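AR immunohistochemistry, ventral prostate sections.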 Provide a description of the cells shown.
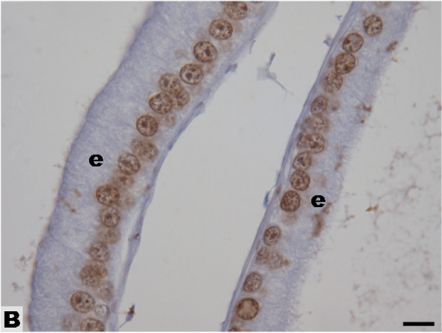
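Two strips of glandular epithelium run side by side, each a single layer of tall columnar cells. Their round nuclei sit in a row toward the base, stained brown, with visible nucleoli and granular chromatin. Above the nuclei the cytoplasm is tall, pale and faintly bluish, ending at a fringed luminal border.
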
